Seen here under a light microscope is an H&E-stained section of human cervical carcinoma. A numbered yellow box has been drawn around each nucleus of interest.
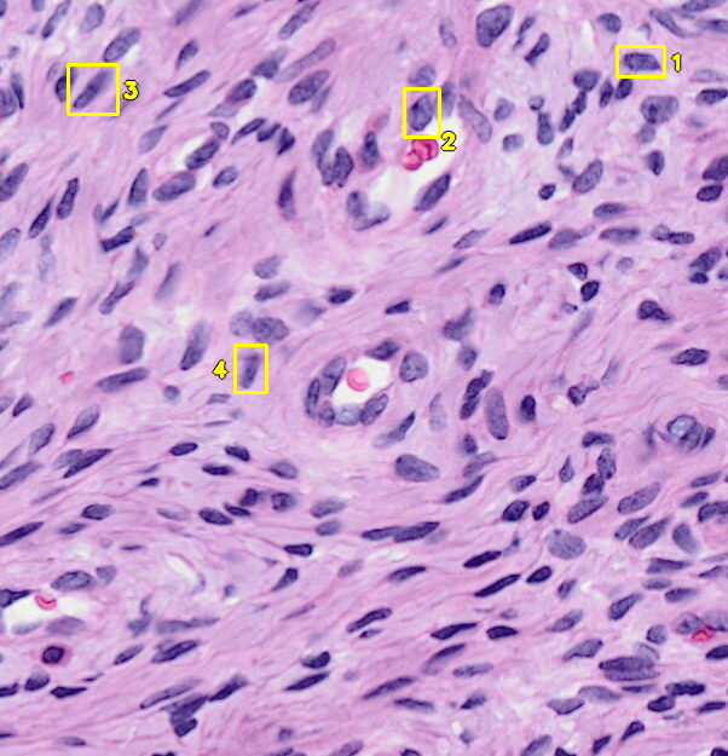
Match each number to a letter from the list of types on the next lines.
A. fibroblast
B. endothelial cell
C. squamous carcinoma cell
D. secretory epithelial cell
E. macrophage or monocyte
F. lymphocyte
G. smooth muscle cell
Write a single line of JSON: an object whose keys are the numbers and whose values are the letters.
{"1": "A", "2": "B", "3": "A", "4": "A"}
